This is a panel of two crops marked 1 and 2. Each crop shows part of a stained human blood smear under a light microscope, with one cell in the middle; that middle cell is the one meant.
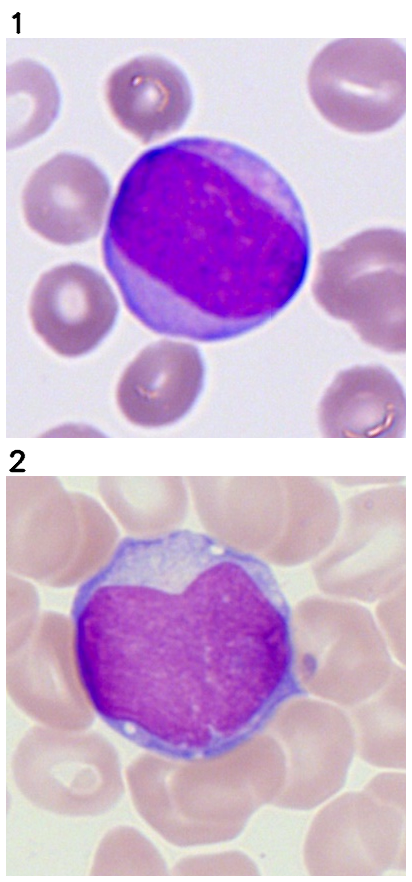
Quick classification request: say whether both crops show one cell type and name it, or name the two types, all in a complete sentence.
Yes, in the two crops, myeloblasts are the cells at the centre.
